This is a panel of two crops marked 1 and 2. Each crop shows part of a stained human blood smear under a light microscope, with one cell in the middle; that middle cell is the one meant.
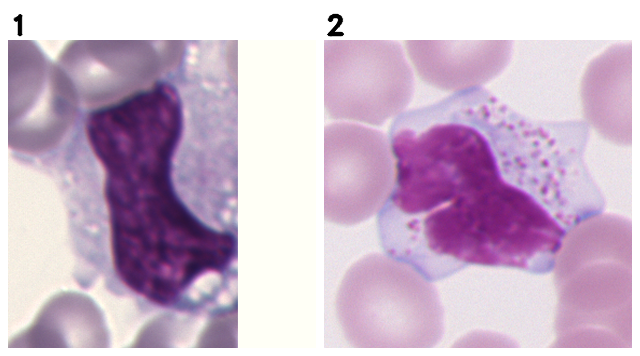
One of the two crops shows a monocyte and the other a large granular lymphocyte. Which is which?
1: monocyte
2: large granular lymphocyte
